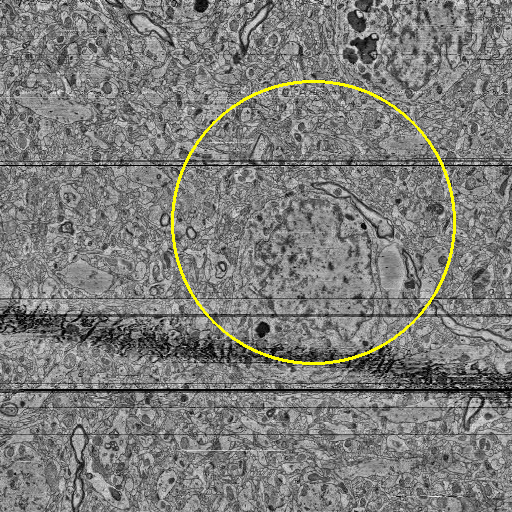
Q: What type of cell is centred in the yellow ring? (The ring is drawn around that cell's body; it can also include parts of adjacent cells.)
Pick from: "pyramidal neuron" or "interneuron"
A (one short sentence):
The yellow ring is centred on an interneuron.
